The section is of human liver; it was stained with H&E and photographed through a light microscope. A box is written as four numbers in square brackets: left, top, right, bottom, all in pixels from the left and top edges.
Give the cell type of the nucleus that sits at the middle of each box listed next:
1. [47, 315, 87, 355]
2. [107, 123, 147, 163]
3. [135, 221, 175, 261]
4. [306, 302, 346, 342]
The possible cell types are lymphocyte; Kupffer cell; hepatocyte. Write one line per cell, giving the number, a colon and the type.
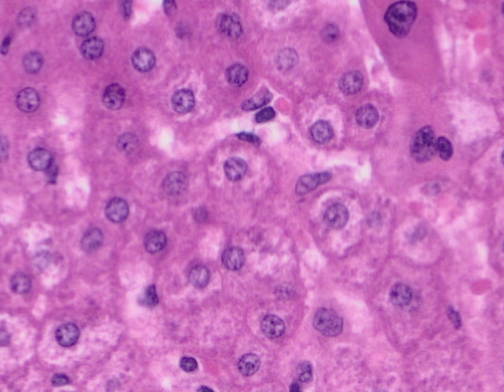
1: hepatocyte
2: hepatocyte
3: hepatocyte
4: Kupffer cell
